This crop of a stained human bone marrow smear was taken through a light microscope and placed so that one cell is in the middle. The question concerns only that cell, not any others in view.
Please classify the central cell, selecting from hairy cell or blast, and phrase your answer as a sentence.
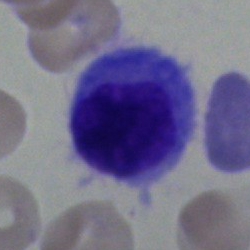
The cell found in the middle of this crop is a hairy cell.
